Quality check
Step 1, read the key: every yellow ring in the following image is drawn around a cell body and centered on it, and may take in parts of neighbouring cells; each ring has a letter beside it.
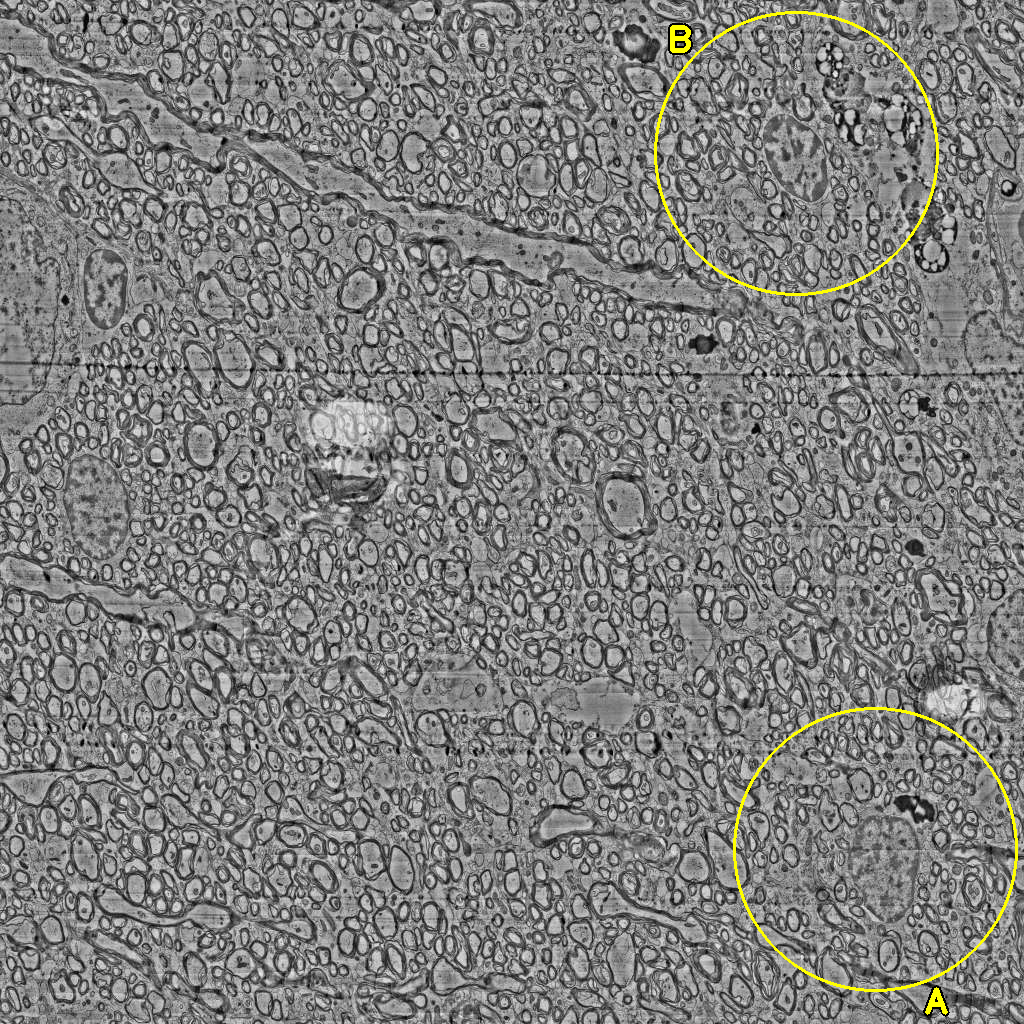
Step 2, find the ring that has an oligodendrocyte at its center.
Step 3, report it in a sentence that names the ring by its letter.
Ring A is centered on that cell.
